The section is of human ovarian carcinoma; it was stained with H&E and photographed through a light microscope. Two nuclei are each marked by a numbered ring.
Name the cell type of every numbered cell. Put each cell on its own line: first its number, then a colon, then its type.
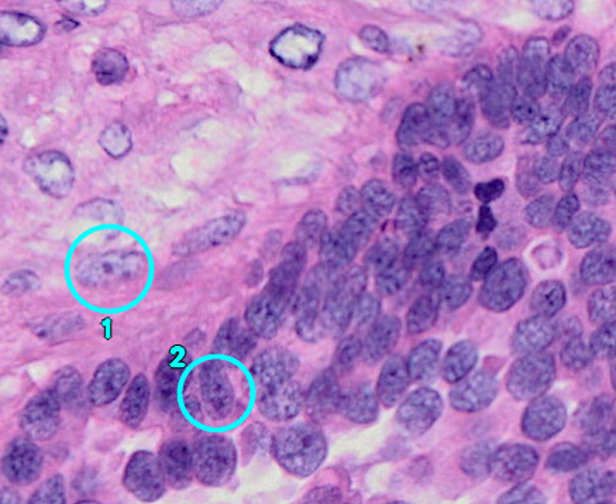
1: fibroblast
2: carcinoma cell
